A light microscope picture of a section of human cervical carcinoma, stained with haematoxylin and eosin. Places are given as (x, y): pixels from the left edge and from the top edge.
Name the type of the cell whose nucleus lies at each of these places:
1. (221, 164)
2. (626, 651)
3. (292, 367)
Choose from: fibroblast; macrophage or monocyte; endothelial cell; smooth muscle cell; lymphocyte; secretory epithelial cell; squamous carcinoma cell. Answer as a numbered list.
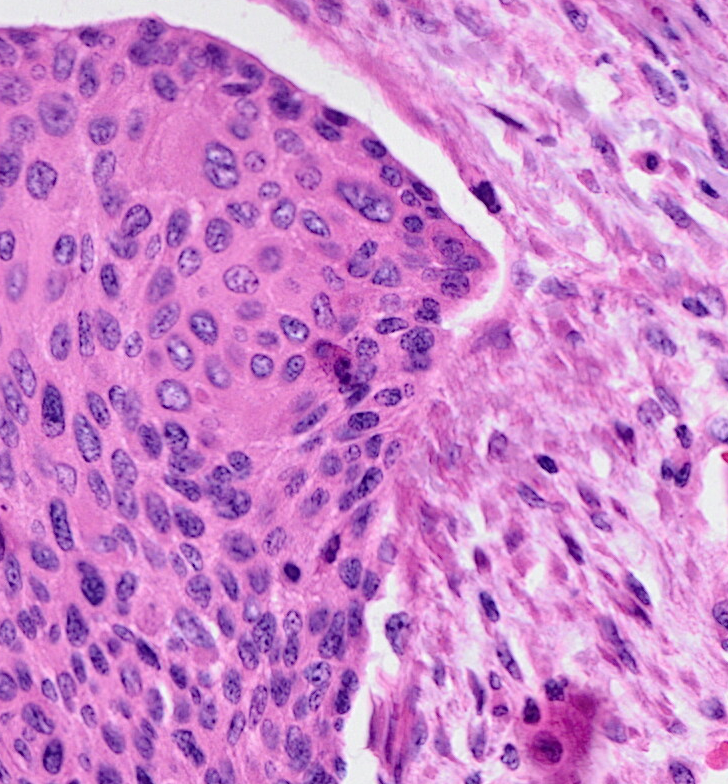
1. squamous carcinoma cell
2. fibroblast
3. squamous carcinoma cell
